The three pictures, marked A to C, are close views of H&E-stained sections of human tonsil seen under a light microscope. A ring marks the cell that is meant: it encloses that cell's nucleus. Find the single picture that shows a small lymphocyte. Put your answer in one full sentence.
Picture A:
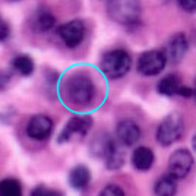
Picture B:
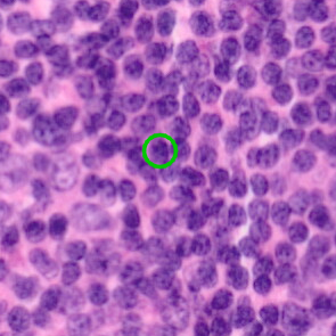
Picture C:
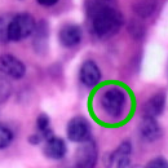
The picture with the small lymphocyte is B.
